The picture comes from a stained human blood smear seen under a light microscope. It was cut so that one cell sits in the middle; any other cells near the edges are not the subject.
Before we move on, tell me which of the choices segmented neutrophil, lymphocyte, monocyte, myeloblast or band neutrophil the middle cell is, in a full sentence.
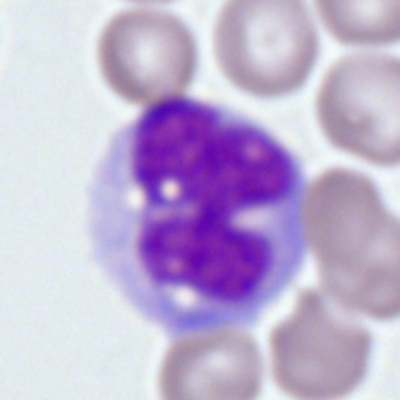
The target cell in the middle of the crop is a monocyte.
